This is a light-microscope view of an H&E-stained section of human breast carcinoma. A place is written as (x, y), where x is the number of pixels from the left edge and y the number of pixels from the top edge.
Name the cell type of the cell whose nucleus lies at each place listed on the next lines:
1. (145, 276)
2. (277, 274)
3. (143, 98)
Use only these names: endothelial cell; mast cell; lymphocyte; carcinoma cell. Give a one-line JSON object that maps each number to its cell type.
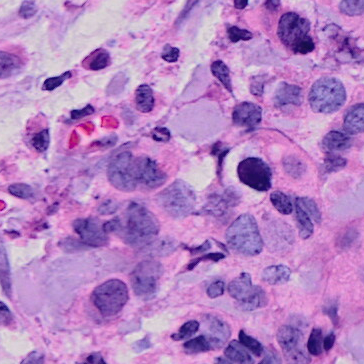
{"1": "carcinoma cell", "2": "carcinoma cell", "3": "mast cell"}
